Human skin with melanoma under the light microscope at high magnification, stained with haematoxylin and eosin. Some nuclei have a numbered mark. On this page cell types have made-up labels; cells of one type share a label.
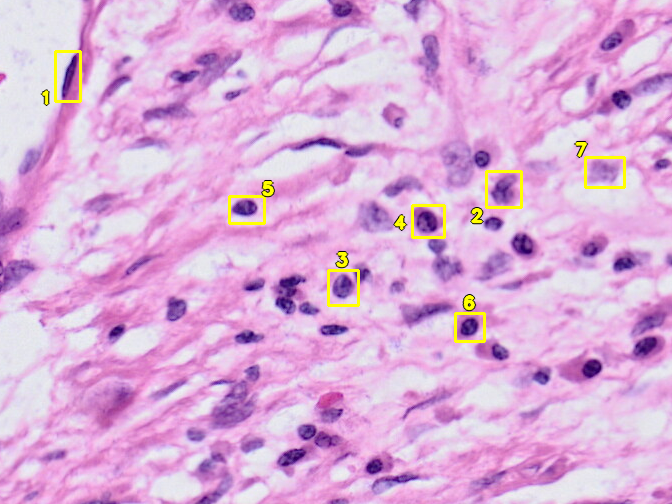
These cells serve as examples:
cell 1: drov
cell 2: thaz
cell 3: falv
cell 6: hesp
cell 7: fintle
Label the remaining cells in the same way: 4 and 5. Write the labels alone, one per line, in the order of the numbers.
hesp
falv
